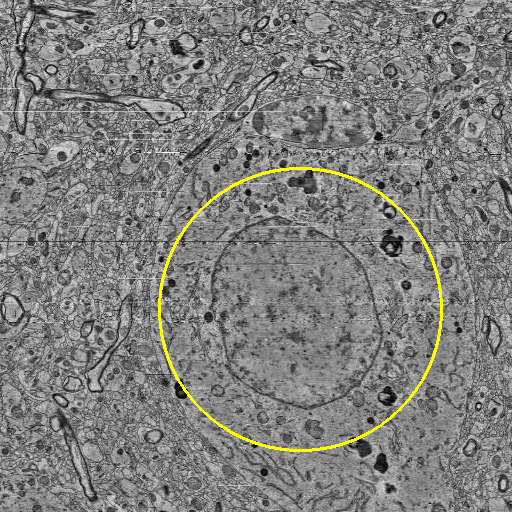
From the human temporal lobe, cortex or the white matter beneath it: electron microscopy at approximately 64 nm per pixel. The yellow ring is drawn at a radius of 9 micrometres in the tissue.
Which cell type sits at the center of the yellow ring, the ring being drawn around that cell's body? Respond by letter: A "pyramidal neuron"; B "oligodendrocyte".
A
